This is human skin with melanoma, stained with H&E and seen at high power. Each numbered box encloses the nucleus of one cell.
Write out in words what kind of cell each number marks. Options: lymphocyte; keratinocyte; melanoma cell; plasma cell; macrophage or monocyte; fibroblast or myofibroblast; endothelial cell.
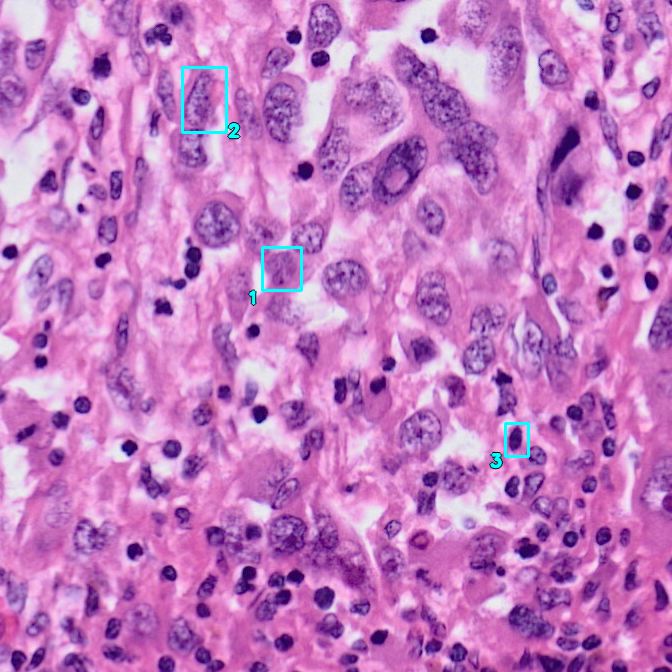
Cells 1 and 2 are melanoma cells. Cell 3 is a lymphocyte.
